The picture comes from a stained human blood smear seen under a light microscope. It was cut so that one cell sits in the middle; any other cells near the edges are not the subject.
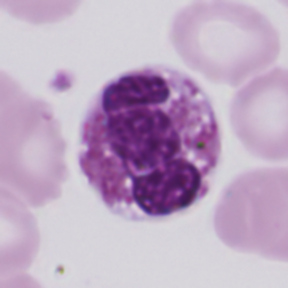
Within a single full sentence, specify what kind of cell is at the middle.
Classification of the middle cell gives an eosinophil.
